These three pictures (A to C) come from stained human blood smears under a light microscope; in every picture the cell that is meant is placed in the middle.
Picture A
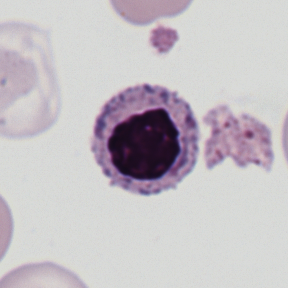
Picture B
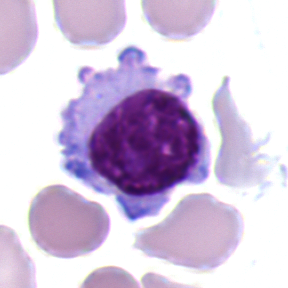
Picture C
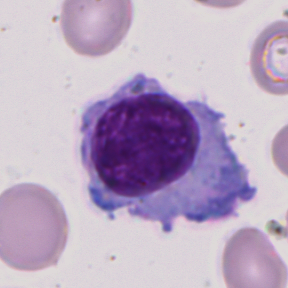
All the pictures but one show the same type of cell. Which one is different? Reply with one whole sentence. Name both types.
The others show plasma cells, but picture A shows a normoblast.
